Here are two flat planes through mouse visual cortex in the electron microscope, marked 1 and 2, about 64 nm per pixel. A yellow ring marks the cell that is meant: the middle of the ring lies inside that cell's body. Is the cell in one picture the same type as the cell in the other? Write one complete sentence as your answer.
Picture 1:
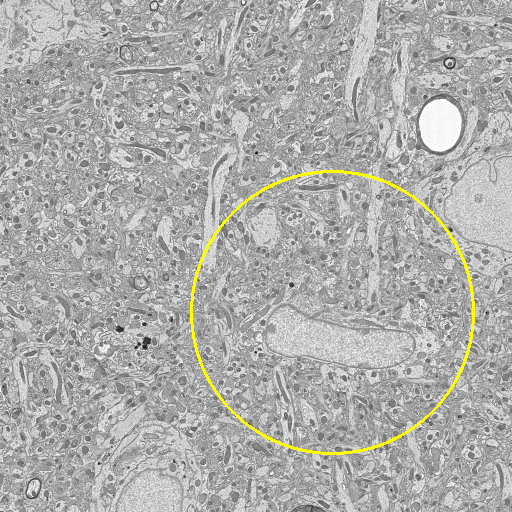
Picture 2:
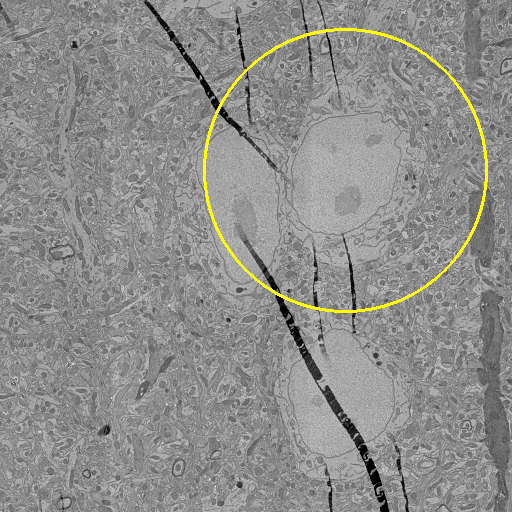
No, picture 1 shows an astrocyte and picture 2 shows an excitatory neuron.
